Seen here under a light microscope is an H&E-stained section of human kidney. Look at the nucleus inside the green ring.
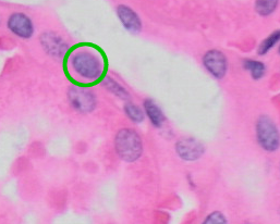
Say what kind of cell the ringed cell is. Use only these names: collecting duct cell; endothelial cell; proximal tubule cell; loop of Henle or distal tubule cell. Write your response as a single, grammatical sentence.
In the stained section, the ringed cell is a collecting duct cell.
